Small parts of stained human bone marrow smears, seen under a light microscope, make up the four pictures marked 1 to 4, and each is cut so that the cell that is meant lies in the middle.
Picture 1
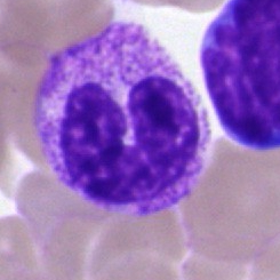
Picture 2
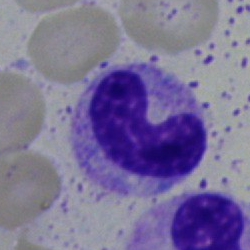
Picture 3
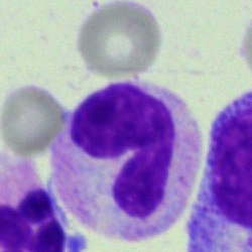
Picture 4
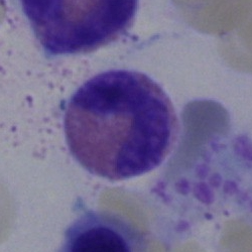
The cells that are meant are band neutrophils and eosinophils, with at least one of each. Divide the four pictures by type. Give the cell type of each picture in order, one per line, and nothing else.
band neutrophil
band neutrophil
band neutrophil
eosinophil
